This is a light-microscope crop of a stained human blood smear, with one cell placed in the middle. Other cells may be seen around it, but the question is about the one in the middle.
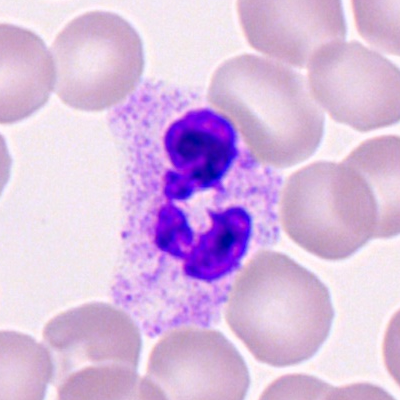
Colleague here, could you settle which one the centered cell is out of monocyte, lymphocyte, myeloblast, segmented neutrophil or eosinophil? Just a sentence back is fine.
The cell positioned in the middle of the field is a segmented neutrophil.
